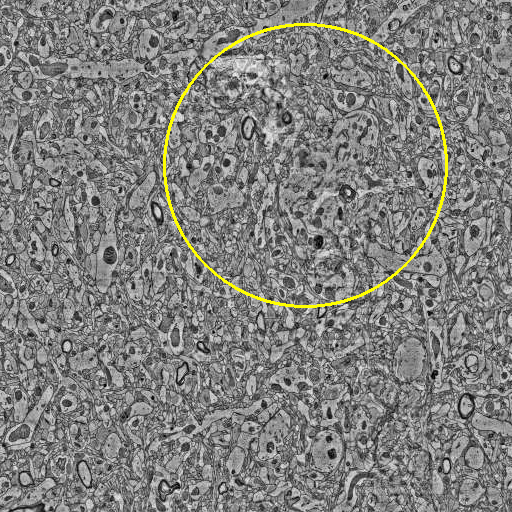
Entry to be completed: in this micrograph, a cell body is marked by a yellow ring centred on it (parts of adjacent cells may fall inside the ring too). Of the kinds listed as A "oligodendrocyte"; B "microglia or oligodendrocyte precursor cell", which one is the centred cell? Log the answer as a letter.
B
